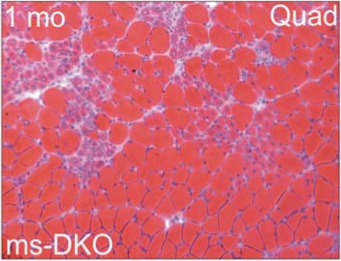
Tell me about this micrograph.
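This cross-section of skeletal muscle shows pink, polygonal to rounded myofibers of very unequal size, separated by thin pale boundaries. In the upper part, foci of densely packed small blue-purple nuclei fill the spaces between and within fibers, where fibers look pale, small and broken up, consistent with myofiber necrosis and cell infiltration. Elsewhere, larger rounded fibers sit beside clusters of much smaller fibers, and scattered dark nuclei lie both at fiber edges and inside fibers.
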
